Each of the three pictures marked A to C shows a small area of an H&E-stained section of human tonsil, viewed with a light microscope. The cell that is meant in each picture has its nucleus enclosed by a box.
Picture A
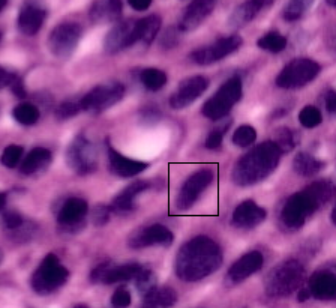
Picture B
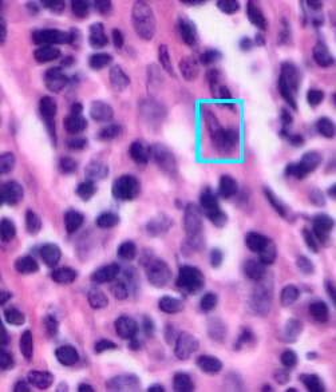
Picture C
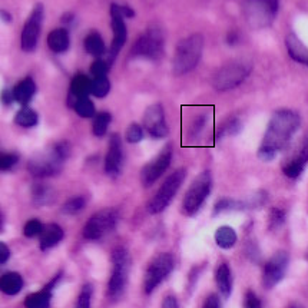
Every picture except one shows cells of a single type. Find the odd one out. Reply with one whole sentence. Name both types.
The others show squamous epithelial cells, but picture B shows an endothelial cell.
